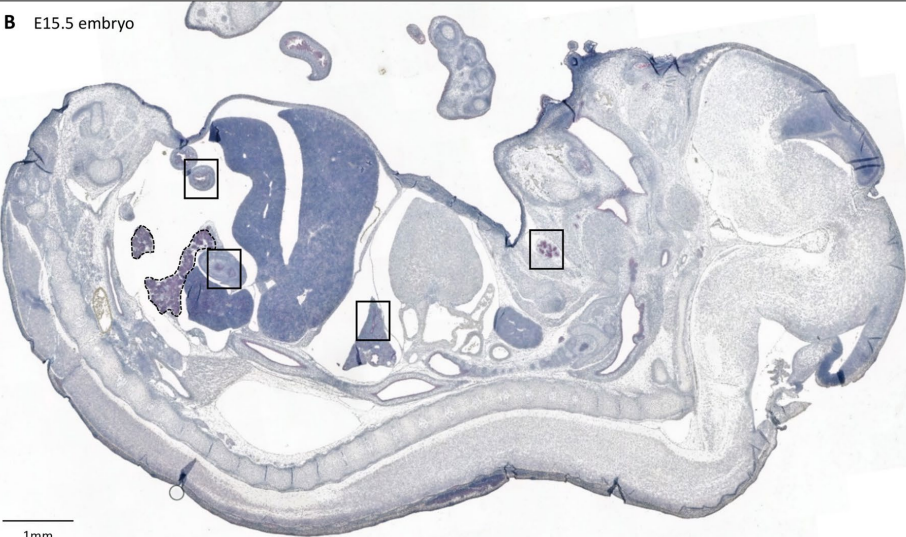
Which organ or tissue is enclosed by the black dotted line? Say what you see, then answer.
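The dotted line encloses a small, irregular, lobulated tissue in the abdominal cavity. The outlined tissue lies beside a large, darkly stained organ and loops of gut.
Hence: pancreas.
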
